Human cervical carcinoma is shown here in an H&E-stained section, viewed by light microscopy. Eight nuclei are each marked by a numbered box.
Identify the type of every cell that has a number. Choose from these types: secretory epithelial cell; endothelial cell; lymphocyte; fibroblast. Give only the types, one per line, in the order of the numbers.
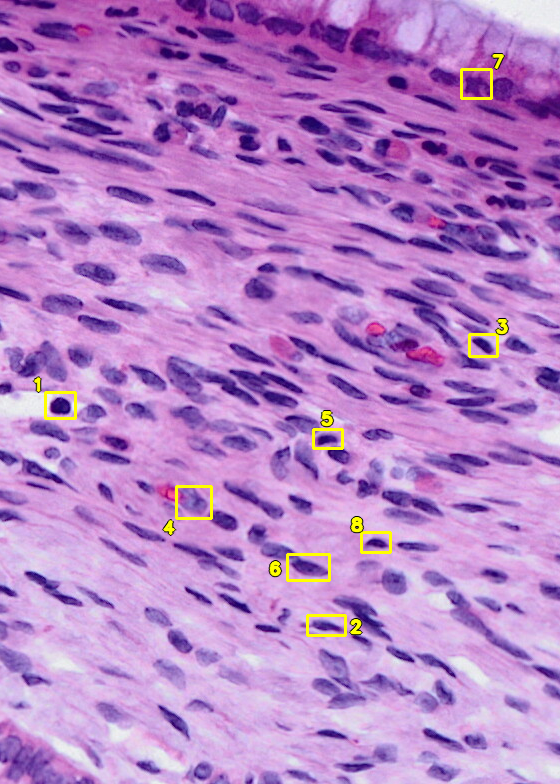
lymphocyte
fibroblast
fibroblast
endothelial cell
lymphocyte
fibroblast
secretory epithelial cell
fibroblast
